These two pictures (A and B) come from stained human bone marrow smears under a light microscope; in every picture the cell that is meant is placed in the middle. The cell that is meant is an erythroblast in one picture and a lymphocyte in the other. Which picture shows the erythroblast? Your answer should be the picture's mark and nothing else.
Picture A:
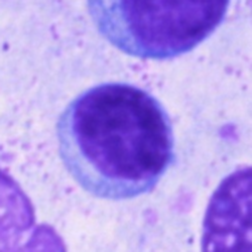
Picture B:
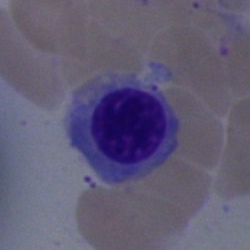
B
